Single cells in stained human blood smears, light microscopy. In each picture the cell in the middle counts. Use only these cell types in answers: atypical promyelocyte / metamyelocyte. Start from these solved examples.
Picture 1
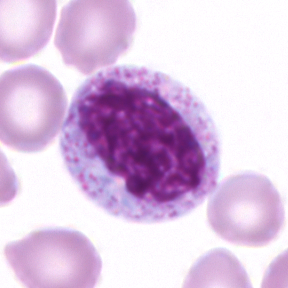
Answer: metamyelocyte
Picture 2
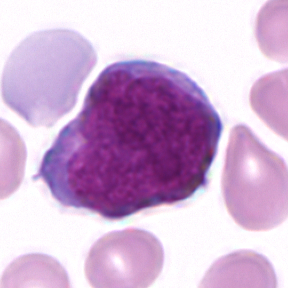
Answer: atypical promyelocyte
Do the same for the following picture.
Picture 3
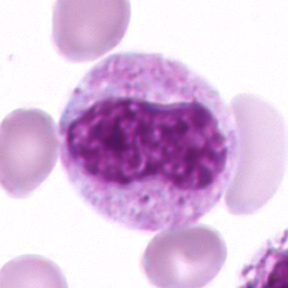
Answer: metamyelocyte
